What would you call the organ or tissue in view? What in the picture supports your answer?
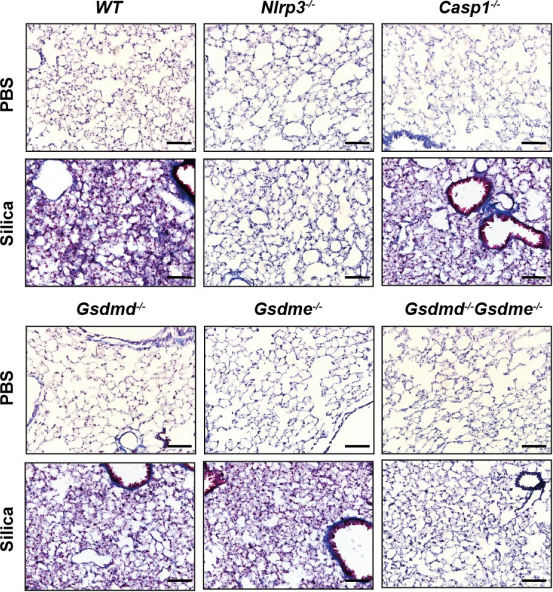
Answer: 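A lace-like network of thin septa around open air spaces. Airways with a red-stained lining and blue-stained surrounding tissue.
Lung.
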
